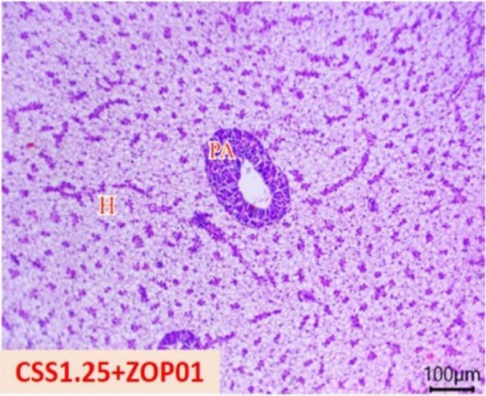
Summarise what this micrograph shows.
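The field is filled with pale, vacuolated hepatocytes forming a fine, foamy background crossed by many short purple strands of nuclei and sinusoids. Near the centre lies an oval ring of deeply purple-stained epithelium, several cells thick, surrounding a clear lumen. This ring is exocrine pancreatic acinar tissue surrounding a branch of the portal vein. A smaller fragment of similar dark epithelium appears at the lower edge. The liver and pancreatic tissue keep a preserved, regular structure.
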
